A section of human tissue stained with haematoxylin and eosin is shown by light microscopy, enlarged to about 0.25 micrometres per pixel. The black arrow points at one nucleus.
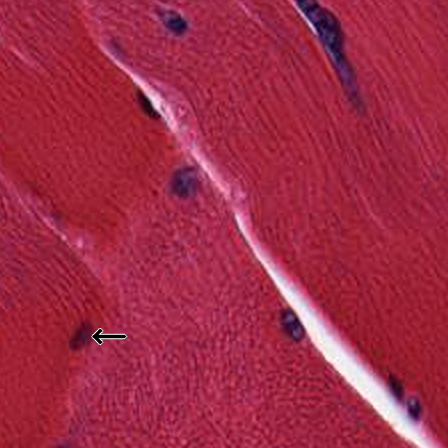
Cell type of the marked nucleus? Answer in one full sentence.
Indicated by the mark is a nucleus that belongs to a skeletal muscle fibre.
